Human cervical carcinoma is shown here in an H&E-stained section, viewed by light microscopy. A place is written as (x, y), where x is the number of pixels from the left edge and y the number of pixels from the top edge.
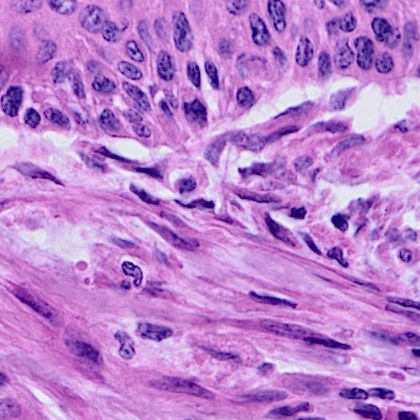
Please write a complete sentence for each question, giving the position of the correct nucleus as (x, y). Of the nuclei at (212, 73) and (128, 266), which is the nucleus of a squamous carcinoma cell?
Between the two nuclei, the one sitting at (212, 73) belongs to a squamous carcinoma cell.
